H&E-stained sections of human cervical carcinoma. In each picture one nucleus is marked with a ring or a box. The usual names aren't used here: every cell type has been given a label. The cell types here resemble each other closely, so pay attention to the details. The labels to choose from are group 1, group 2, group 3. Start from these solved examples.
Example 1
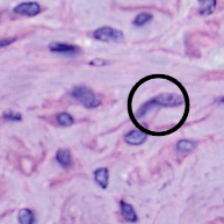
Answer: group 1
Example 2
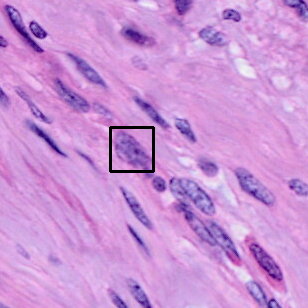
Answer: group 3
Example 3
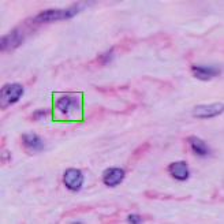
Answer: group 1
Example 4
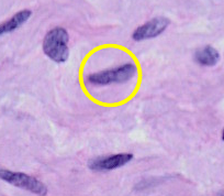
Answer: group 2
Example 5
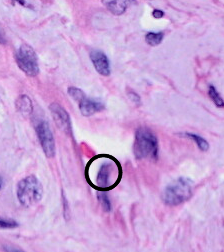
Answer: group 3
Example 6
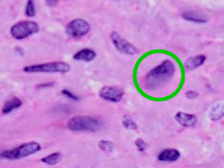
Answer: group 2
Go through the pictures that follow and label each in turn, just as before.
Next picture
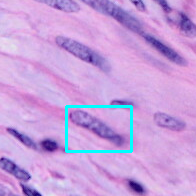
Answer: group 1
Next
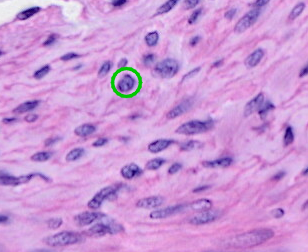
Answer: group 1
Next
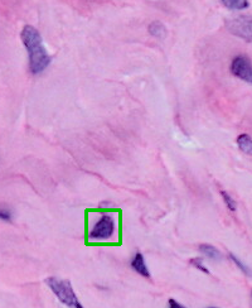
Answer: group 2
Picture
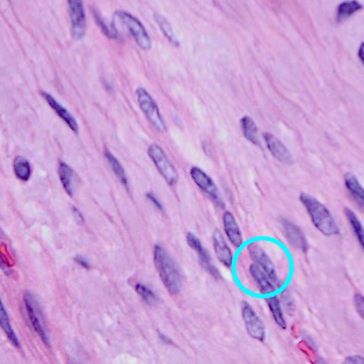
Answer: group 3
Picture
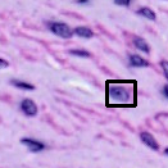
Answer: group 1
